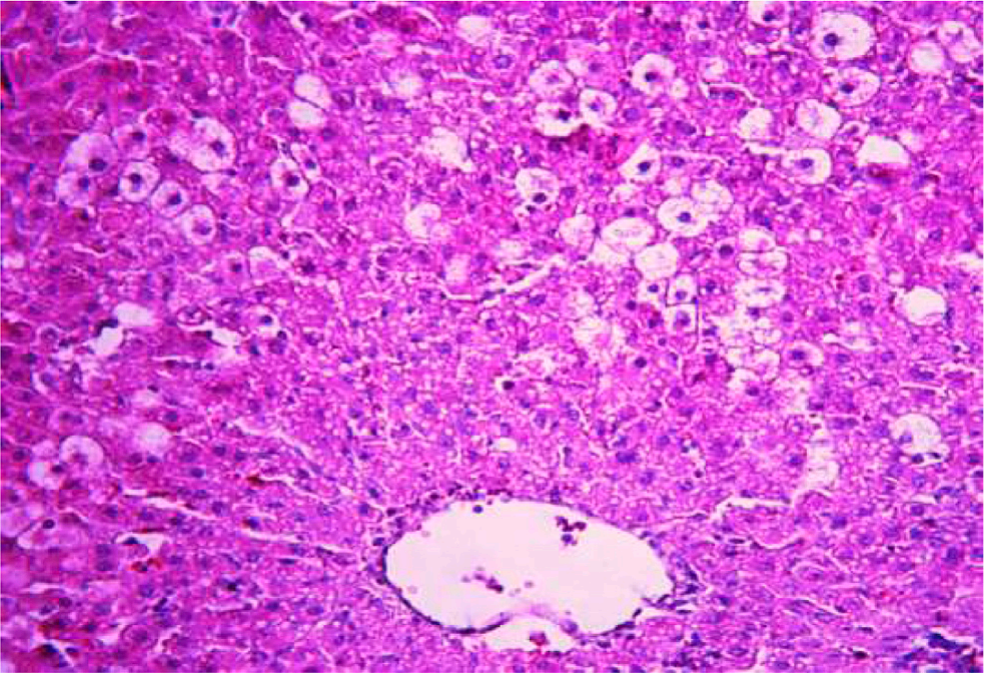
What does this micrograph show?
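This is liver parenchyma made of hepatocytes arranged in cords separated by narrow sinusoids, with a large thin-walled vessel at the bottom holding a few blood cells. Many hepatocytes, in clusters mostly in the upper part of the field, are swollen and rounded, with pale, clear, vacuolated cytoplasm around a round central nucleus. The remaining hepatocytes have pink granular cytoplasm.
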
